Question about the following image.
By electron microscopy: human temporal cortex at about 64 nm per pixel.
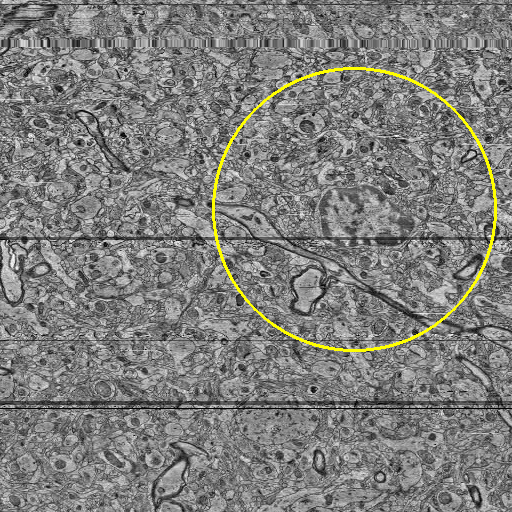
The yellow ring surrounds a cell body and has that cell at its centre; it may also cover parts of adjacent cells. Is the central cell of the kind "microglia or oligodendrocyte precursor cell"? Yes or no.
Yes, it is of that kind.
